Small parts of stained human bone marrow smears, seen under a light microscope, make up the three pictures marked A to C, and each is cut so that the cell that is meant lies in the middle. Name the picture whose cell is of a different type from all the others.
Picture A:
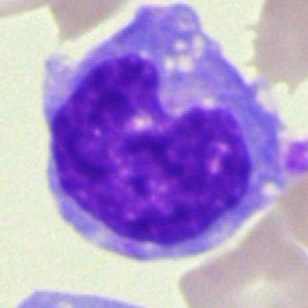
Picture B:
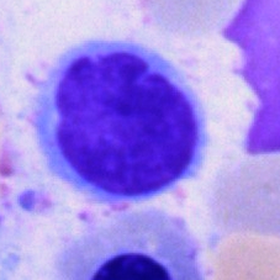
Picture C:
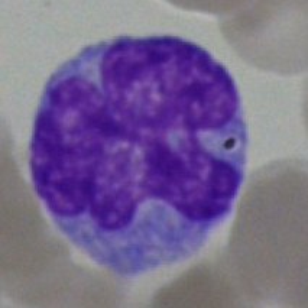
B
